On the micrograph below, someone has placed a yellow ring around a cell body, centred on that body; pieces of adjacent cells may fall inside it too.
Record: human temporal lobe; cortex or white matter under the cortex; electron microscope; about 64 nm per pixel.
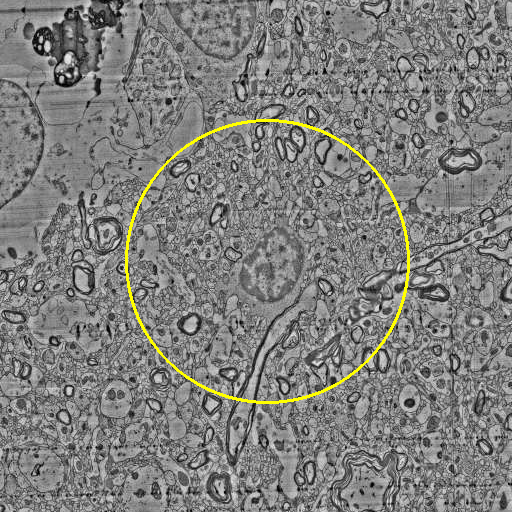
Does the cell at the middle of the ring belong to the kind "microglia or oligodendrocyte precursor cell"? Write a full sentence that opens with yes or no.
No, the micrograph shows another kind of cell at the ring's centre.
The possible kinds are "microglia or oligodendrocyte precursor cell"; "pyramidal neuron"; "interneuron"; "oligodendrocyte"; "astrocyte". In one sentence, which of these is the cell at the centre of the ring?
The cell marked by the ring is an oligodendrocyte.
